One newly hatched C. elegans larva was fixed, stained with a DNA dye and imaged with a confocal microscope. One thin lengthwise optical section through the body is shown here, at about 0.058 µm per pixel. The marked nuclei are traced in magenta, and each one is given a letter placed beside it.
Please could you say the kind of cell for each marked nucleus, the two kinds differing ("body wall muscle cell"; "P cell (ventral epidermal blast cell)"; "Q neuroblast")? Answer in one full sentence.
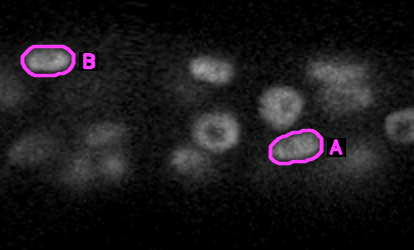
The nucleus A is that of a P cell (ventral epidermal blast cell), while B is that of a body wall muscle cell.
